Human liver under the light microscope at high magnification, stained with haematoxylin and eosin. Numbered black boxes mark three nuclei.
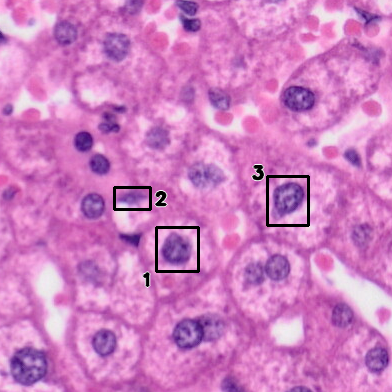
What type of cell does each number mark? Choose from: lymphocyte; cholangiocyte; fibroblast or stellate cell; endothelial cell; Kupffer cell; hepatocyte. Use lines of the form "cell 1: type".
cell 1: hepatocyte
cell 2: endothelial cell
cell 3: hepatocyte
